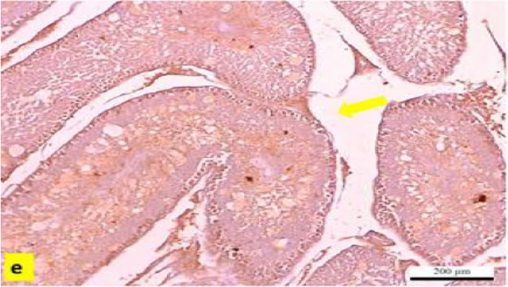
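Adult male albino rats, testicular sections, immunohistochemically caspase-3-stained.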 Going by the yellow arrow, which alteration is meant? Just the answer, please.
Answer: Interstitial tissue edema.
